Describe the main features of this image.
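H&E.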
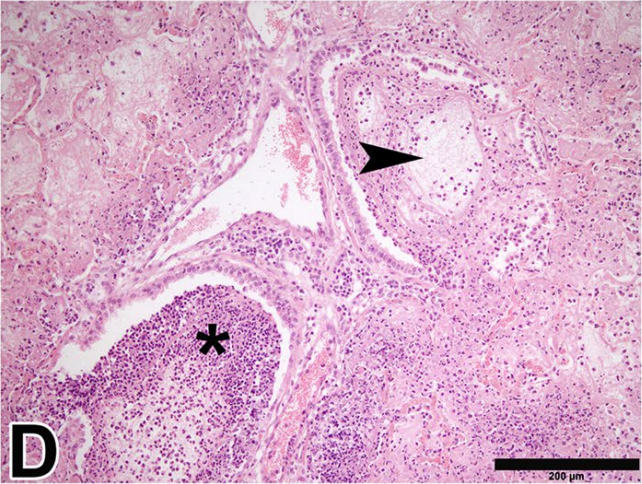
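Lung with bronchioles and surrounding alveoli. One bronchiole holds a loose pale pink fibrillar mesh with scattered trapped cells, and another is filled almost entirely by densely packed small cells with dark purple nuclei. The surrounding alveoli are filled with pale pink fibrillar material and cells rather than air. Dense cell clusters lie around the airways next to a thin-walled vessel containing red blood cells.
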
